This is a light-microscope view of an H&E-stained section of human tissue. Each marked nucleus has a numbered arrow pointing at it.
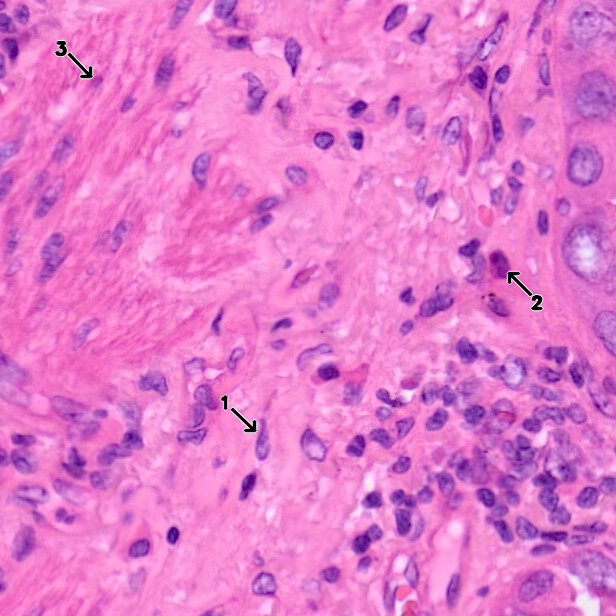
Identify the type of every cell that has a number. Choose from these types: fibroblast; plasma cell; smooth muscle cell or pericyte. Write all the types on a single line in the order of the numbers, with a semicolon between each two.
fibroblast; plasma cell; smooth muscle cell or pericyte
